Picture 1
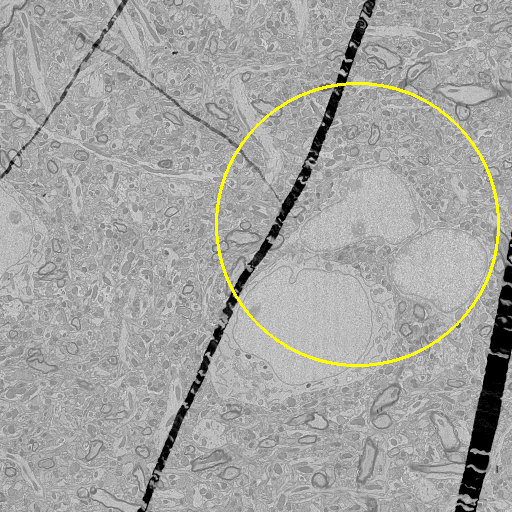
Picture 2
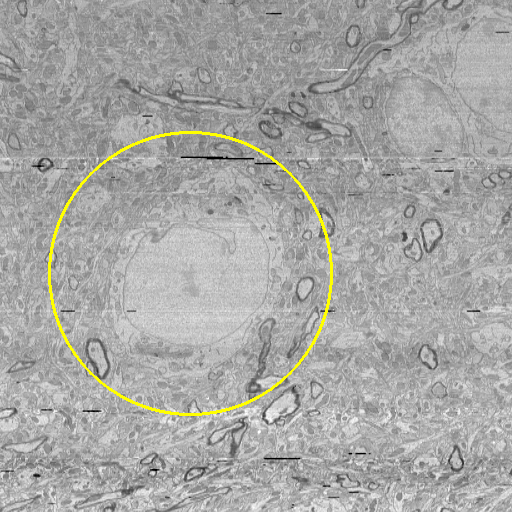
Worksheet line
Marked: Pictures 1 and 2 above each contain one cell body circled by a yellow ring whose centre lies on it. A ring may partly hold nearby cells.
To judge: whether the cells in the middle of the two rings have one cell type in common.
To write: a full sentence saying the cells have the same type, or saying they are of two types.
The cells in the middle of the rings in Picture 1 and Picture 2 are of two types.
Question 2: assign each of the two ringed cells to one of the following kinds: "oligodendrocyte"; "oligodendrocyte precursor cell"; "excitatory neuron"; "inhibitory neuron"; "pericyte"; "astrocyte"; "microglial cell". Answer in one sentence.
The two cells are an astrocyte in the first picture and an excitatory neuron in the second.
